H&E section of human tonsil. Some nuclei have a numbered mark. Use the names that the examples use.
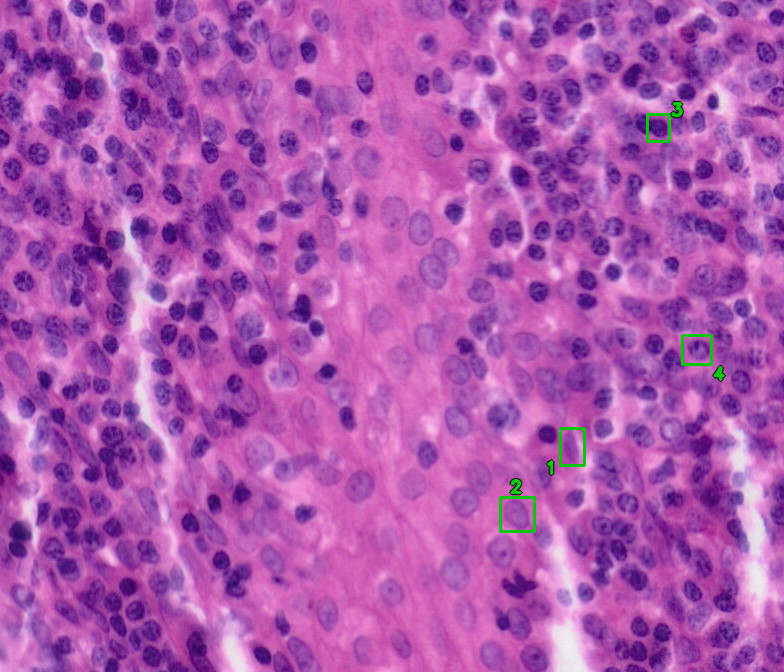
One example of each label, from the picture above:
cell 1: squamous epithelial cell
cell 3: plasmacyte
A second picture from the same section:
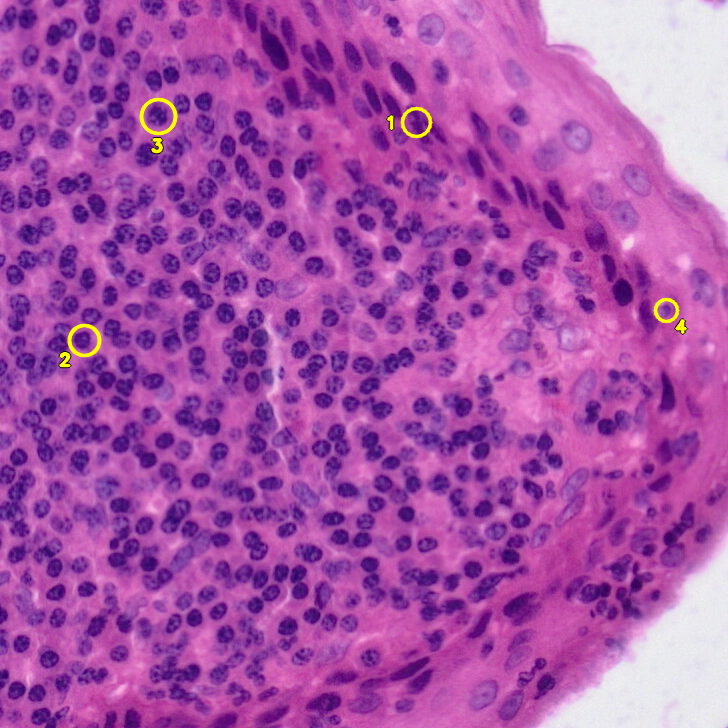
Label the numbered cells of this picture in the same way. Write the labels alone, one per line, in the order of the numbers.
squamous epithelial cell
plasmacyte
plasmacyte
squamous epithelial cell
